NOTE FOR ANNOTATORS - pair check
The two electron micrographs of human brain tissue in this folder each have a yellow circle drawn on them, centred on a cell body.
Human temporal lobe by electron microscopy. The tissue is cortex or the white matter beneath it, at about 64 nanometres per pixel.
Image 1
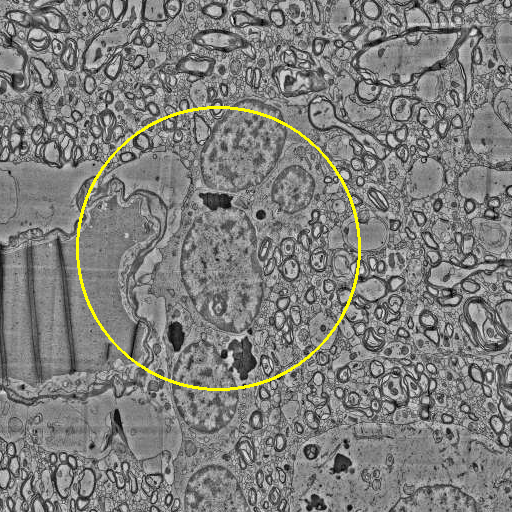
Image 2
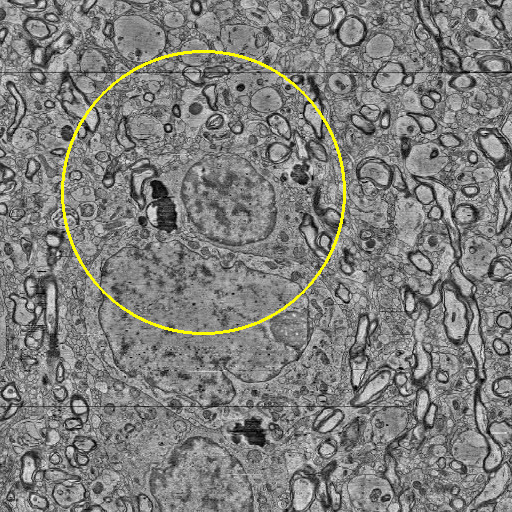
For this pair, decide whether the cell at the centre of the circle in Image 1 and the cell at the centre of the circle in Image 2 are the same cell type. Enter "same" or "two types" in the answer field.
same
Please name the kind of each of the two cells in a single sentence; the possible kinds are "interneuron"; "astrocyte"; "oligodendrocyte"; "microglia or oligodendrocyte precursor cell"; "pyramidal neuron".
The ring centre holds an oligodendrocyte in each of the two pictures.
